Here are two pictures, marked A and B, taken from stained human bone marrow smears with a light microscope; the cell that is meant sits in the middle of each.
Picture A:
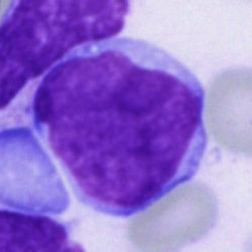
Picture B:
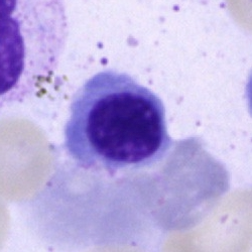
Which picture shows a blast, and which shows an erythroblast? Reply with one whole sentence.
Picture A shows a blast and picture B shows an erythroblast.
